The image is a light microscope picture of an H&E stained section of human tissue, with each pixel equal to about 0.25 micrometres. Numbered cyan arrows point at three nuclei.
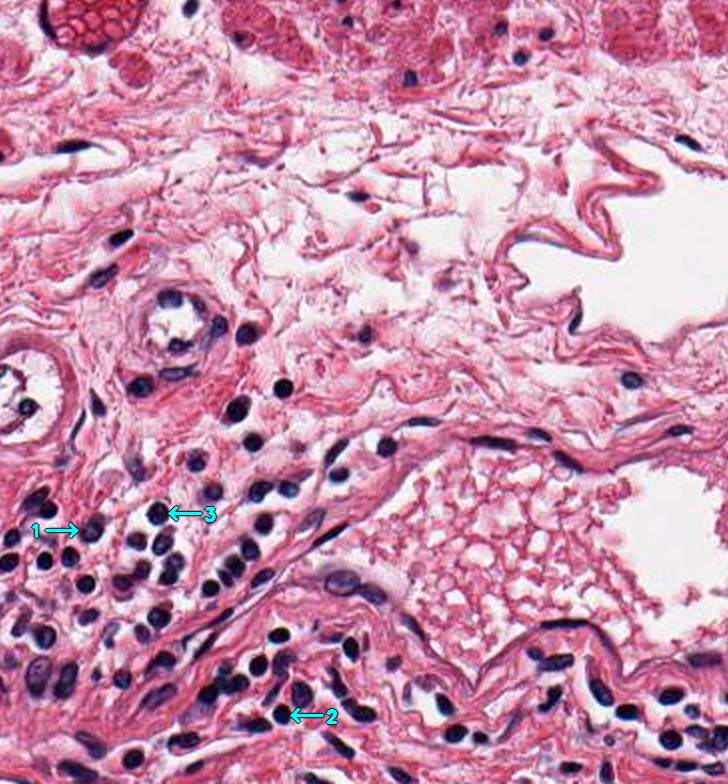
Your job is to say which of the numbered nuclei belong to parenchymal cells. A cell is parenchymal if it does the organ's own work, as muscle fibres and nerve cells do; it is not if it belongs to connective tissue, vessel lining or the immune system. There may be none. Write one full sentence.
Of the cells indicated by the numbers, none is a parenchymal cell.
